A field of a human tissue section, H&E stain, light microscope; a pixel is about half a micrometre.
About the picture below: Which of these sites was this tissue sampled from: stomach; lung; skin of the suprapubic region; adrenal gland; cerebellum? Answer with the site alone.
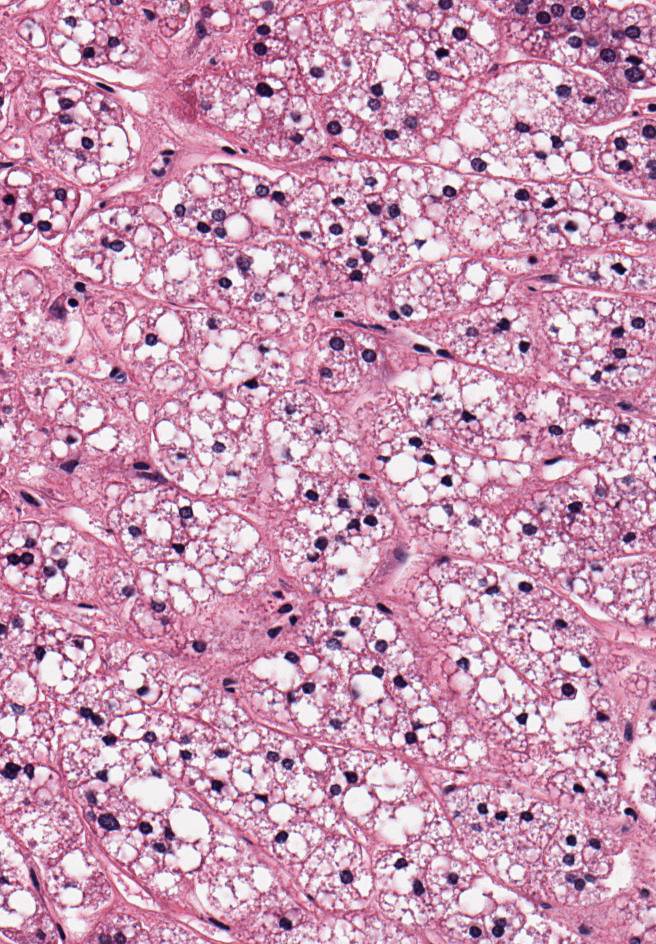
adrenal gland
